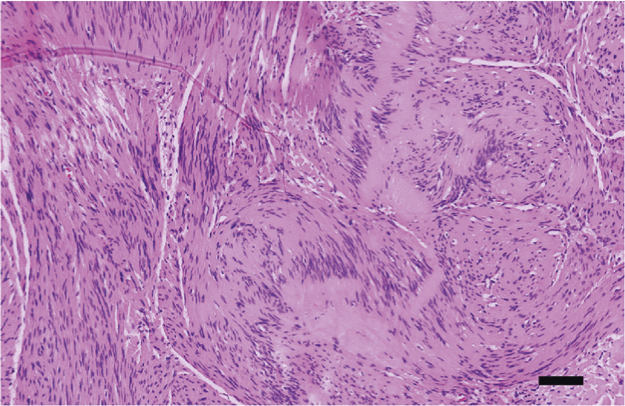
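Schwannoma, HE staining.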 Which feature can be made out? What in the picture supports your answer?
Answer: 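Pale pink zones lacking nuclei. These alternate with bands of elongated, aligned purple nuclei. The nuclear bands lie in parallel rows around the pale zones.
Verocay bodies.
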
